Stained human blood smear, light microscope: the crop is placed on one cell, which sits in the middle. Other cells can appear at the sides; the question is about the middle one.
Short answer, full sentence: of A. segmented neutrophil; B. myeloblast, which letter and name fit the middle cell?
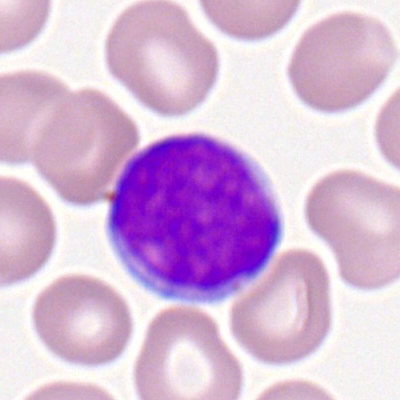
According to option B, which is correct, the cell in the middle is a myeloblast.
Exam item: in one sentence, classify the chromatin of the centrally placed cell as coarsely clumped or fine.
Thanks for asking; the chromatin is coarsely clumped.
